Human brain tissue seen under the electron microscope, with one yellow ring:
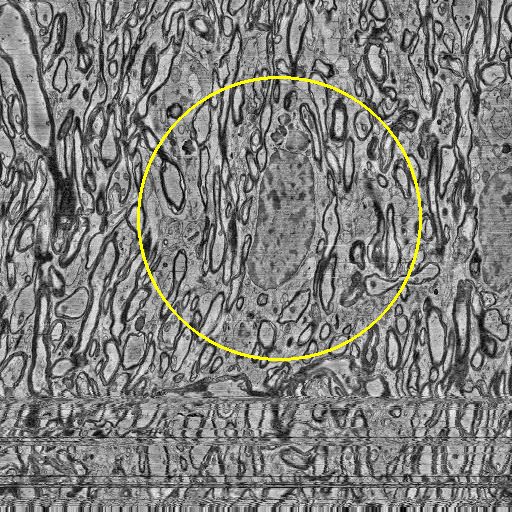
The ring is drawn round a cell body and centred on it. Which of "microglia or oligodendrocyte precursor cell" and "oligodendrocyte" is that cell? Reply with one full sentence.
The picture shows a microglial cell or oligodendrocyte precursor cell at the very centre of the yellow ring.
